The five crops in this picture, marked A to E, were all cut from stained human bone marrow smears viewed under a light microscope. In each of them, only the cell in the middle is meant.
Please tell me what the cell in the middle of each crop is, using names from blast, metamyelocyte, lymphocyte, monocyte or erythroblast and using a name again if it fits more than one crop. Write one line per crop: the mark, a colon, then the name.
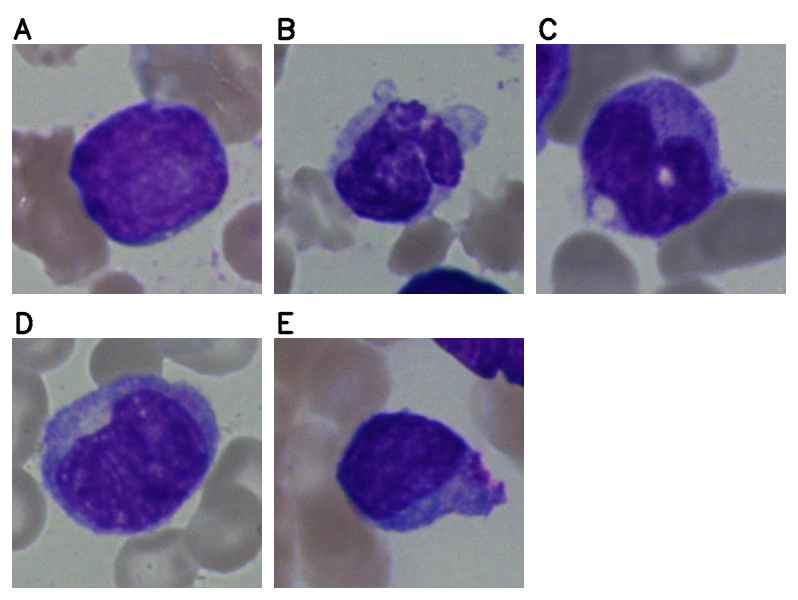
A: blast
B: monocyte
C: monocyte
D: monocyte
E: blast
